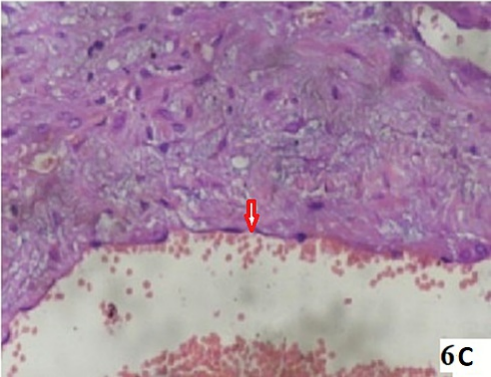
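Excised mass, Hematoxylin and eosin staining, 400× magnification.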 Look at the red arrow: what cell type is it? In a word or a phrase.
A: Flattened endothelial cells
